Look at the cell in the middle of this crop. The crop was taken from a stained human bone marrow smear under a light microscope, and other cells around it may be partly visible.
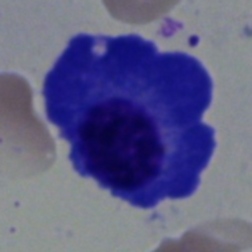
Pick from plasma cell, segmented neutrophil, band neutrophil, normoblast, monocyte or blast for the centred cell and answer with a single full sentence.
In this smear crop, the middle cell is a plasma cell.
